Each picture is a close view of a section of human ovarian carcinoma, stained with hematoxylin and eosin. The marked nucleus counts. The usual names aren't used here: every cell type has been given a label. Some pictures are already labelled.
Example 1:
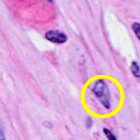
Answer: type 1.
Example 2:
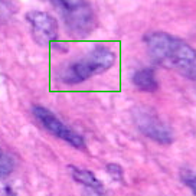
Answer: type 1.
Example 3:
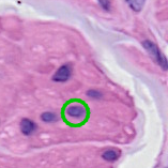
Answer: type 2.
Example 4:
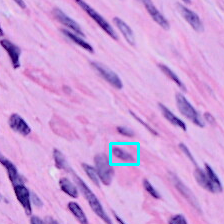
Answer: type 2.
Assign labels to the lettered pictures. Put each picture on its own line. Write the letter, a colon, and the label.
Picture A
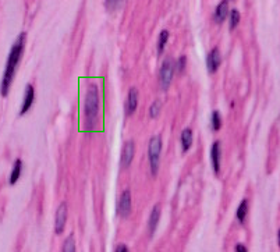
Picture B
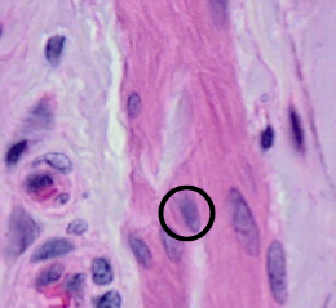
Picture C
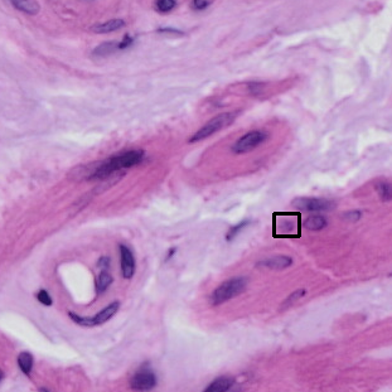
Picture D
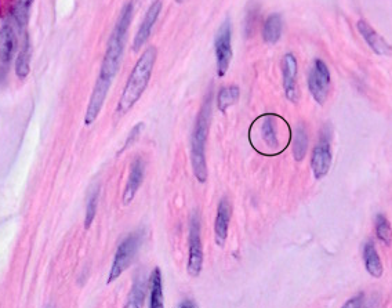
A: type 2.
B: type 2.
C: type 2.
D: type 2.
